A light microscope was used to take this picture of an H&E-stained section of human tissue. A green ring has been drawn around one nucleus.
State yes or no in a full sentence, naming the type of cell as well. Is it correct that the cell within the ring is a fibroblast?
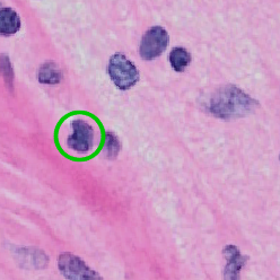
No, the cell within the ring counts as a lymphocyte rather than as a fibroblast.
